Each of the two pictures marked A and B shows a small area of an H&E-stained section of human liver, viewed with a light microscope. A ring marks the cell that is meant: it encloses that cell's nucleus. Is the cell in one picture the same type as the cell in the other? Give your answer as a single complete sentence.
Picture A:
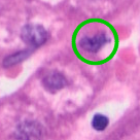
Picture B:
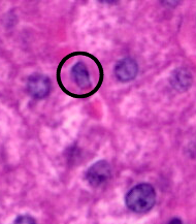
Yes, both cells are endothelial cells.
